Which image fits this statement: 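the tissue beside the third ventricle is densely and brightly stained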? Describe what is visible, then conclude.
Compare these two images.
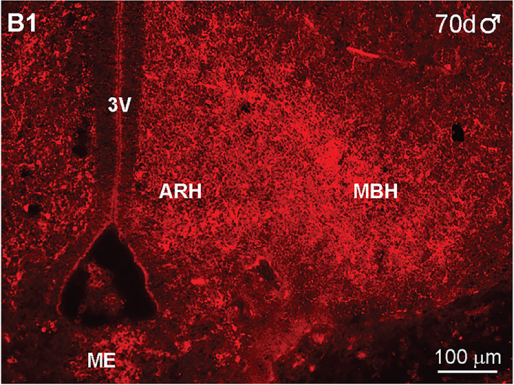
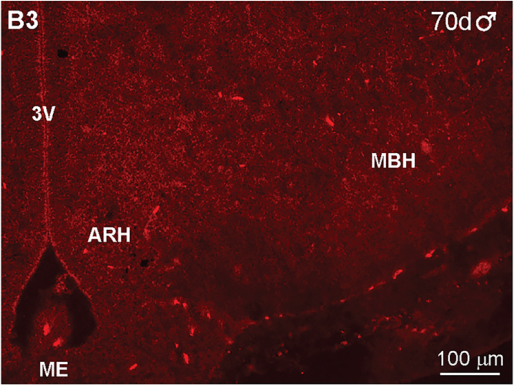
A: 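Second image: the region beside the ventricle is dim, with only scattered faint specks. First image: the region beside the ventricle and lateral to it is filled with dense bright red staining. That points to this answer: the first image.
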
